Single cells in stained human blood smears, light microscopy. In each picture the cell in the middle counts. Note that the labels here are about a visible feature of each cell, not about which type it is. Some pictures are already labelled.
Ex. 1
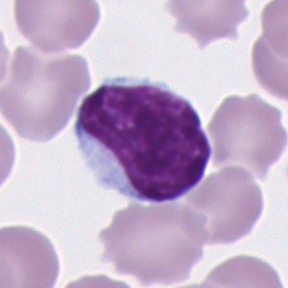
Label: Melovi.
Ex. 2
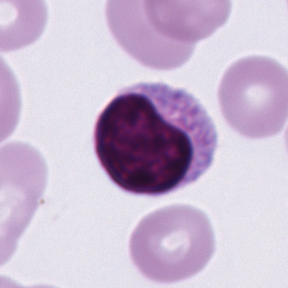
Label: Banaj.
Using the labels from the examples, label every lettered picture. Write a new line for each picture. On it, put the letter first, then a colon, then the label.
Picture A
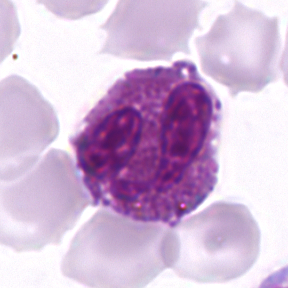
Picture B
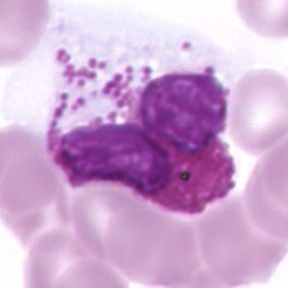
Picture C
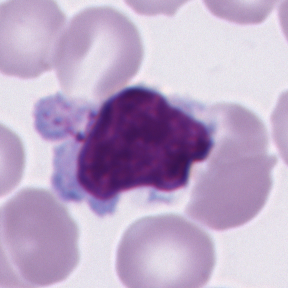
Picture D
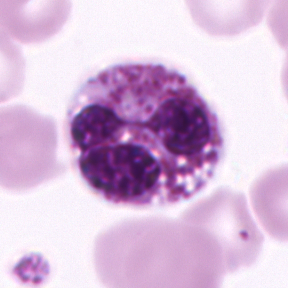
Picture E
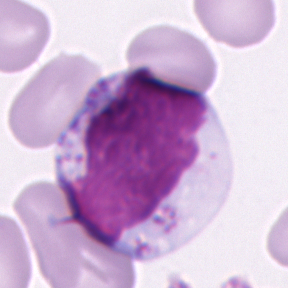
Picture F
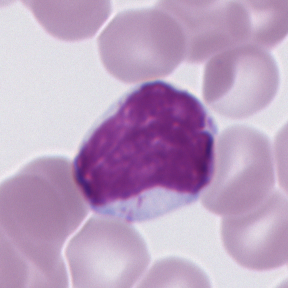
A: Melovi.
B: Melovi.
C: Melovi.
D: Banaj.
E: Melovi.
F: Banaj.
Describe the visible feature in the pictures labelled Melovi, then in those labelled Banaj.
Melovi, ragged outline or projections; Banaj, smooth outline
